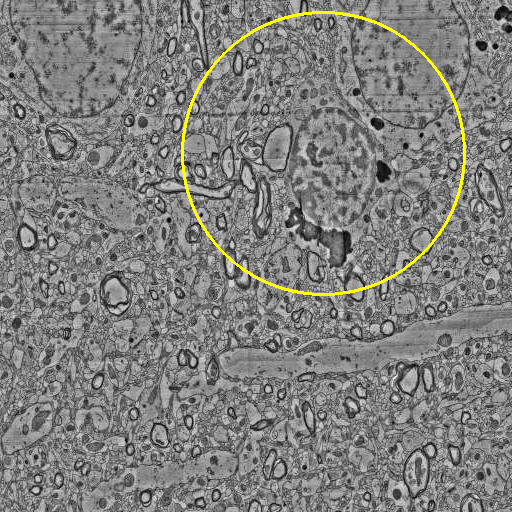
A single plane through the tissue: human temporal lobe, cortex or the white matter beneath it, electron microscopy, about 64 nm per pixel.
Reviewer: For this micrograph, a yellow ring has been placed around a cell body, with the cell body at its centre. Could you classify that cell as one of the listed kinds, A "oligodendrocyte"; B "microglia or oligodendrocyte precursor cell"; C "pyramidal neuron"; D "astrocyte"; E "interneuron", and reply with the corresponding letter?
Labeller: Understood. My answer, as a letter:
A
